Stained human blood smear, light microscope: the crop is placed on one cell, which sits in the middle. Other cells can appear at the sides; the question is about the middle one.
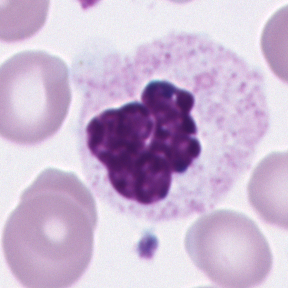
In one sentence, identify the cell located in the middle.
For this crop, the central cell is a segmented neutrophil.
